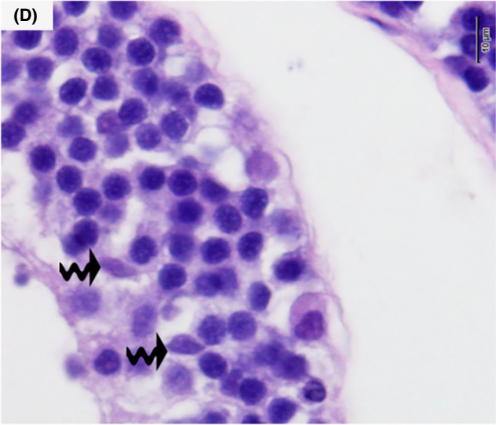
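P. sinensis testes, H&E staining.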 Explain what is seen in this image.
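Part of a seminiferous tubule wall with several layers of spermatogonia, Sertoli cells and germ cells. The epithelium is thick and packed with round cells whose nuclei are dark purple and round, some larger and paler than others. Between them lie cells with paler, irregular nuclei set in pale pink cytoplasm with small clear spaces. A thin pink boundary lines the outer edge, and an empty lumen lies toward one corner. No thread-like elongated profiles are present; all germ cells are round.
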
